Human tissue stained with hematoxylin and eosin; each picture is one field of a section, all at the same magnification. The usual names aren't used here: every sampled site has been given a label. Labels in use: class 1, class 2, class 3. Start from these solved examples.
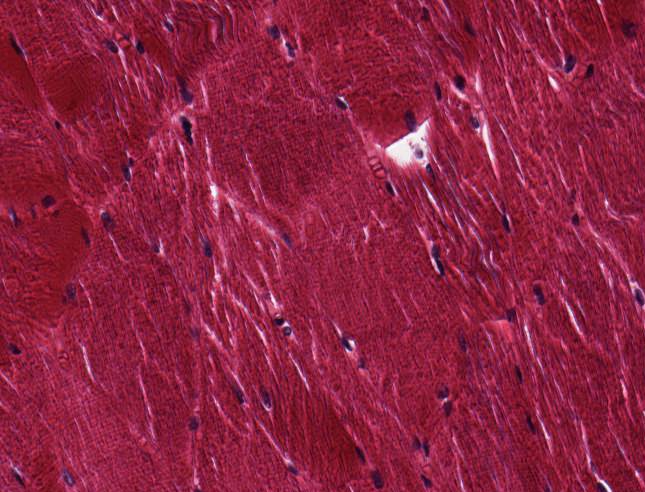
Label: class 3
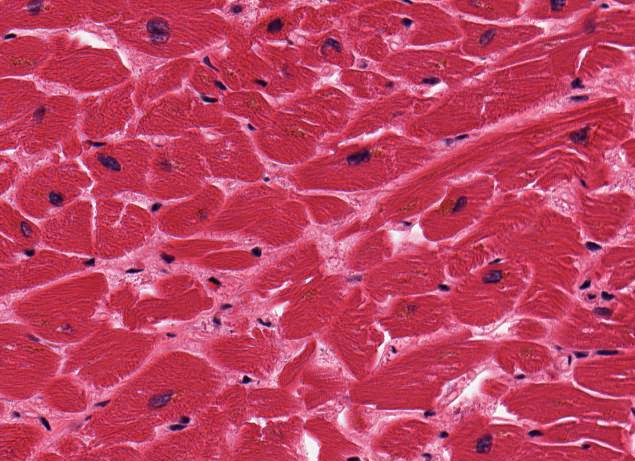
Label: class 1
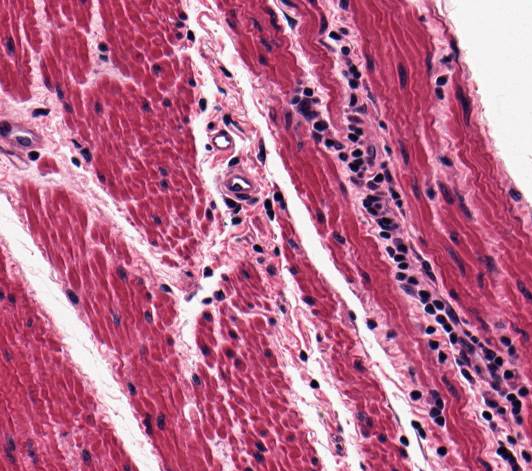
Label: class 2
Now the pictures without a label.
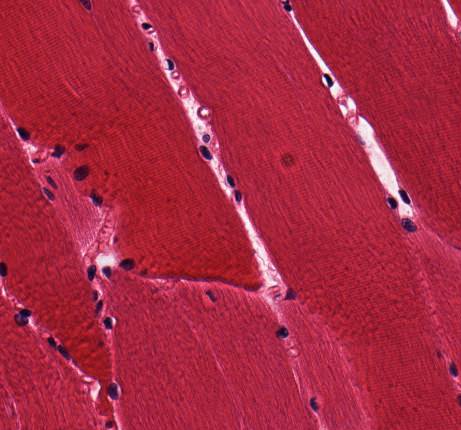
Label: class 3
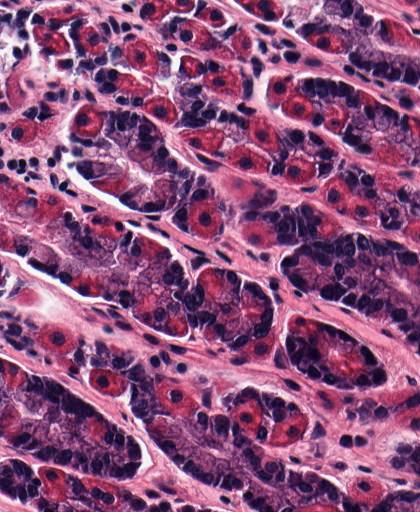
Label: class 2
